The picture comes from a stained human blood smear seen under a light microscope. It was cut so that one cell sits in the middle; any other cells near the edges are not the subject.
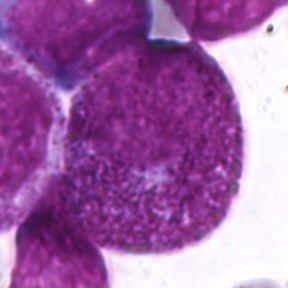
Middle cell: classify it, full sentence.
To answer, the cell in the center of the crop is a promyelocyte.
